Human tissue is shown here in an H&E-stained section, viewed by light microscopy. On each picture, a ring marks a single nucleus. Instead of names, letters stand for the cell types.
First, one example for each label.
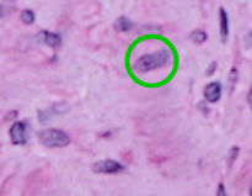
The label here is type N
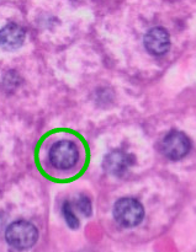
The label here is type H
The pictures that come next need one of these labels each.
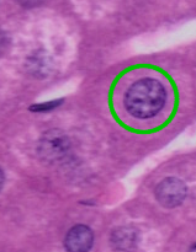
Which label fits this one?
type H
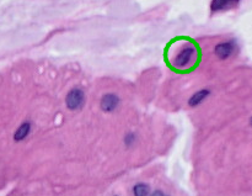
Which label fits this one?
type N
